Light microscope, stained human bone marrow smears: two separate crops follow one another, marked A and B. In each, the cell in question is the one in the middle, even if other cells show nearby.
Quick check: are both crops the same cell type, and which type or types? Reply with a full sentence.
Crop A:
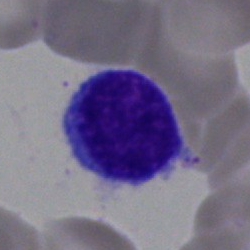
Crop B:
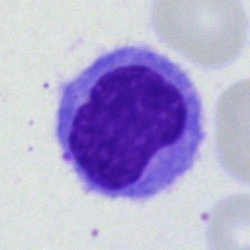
No, crop A and crop B show a lymphocyte and a monocyte respectively.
